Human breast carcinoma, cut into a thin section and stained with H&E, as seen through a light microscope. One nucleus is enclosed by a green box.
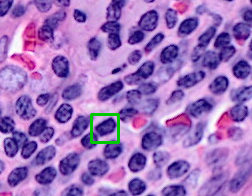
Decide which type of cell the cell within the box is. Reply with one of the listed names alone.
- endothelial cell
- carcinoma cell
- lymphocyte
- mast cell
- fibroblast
lymphocyte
